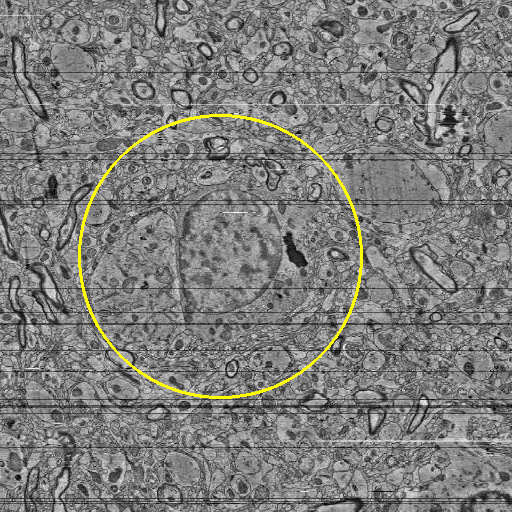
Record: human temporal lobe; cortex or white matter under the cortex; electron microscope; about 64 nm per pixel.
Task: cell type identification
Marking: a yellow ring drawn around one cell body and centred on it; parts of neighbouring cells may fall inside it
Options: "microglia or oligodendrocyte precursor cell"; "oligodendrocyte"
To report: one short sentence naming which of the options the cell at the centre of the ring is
The cell at the centre of the ring is an oligodendrocyte.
